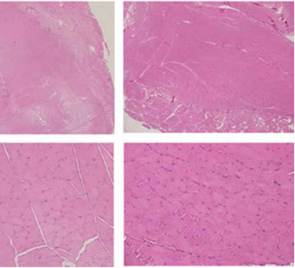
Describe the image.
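Skeletal muscle tissue stained pink with eosin, shown at low and higher magnification. At low magnification the tissue forms broad, uniformly pink sheets of densely packed fibres. At higher magnification the fibres appear as closely packed polygonal profiles with small, dark purple nuclei lying at their edges.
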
